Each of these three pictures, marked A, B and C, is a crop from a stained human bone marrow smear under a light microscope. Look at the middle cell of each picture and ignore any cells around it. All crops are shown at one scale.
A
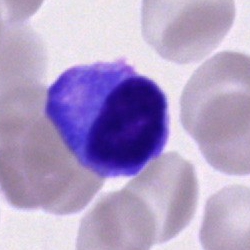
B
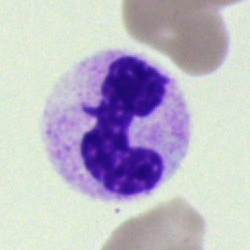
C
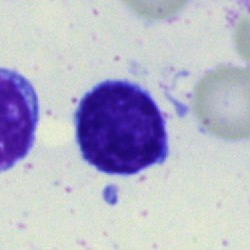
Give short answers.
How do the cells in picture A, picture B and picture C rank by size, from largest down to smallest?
B, A, C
